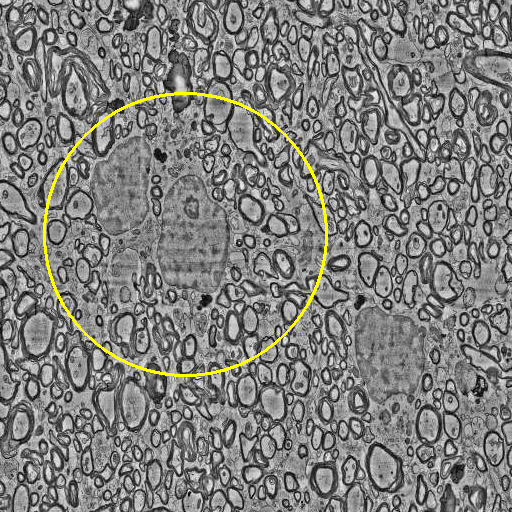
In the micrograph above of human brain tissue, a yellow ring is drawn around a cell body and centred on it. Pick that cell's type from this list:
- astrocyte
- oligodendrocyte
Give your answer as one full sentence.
Going by the list, an oligodendrocyte is the cell on which the yellow ring is centred.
